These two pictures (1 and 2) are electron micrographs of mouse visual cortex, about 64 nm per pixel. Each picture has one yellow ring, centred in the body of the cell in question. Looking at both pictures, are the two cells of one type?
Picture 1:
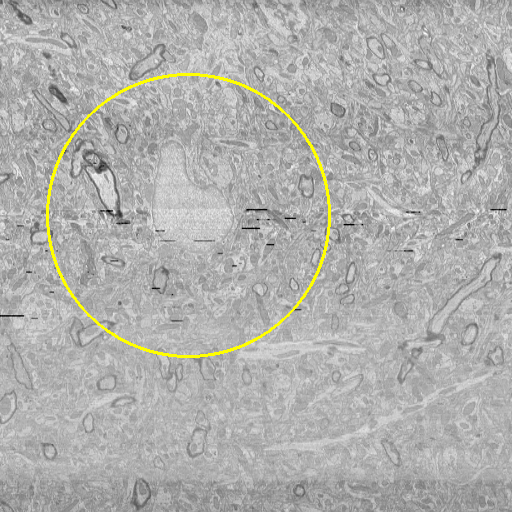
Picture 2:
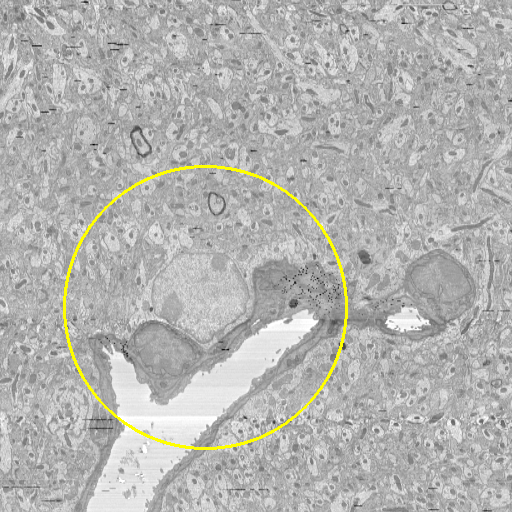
Yes, the two pictures both show astrocytes.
